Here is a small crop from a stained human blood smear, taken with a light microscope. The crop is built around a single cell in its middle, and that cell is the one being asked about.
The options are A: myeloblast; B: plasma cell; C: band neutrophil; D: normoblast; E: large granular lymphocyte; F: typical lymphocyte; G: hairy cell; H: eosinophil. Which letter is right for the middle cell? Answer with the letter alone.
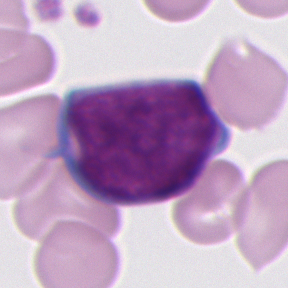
A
